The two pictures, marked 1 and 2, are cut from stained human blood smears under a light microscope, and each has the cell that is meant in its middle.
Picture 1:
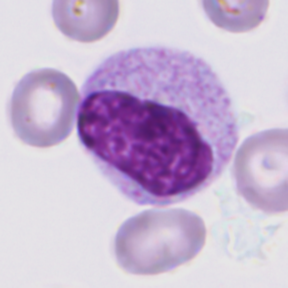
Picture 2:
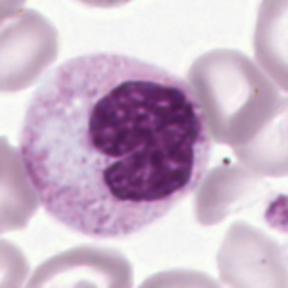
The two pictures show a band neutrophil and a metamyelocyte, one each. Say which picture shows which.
1: metamyelocyte
2: band neutrophil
